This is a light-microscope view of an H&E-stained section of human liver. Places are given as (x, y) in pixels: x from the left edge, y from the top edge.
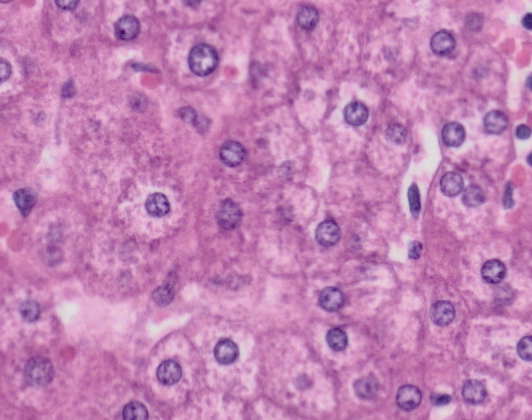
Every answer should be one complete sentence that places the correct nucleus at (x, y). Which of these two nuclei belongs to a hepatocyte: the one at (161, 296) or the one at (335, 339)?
Of the two nuclei present, the one at (335, 339) is within a hepatocyte.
